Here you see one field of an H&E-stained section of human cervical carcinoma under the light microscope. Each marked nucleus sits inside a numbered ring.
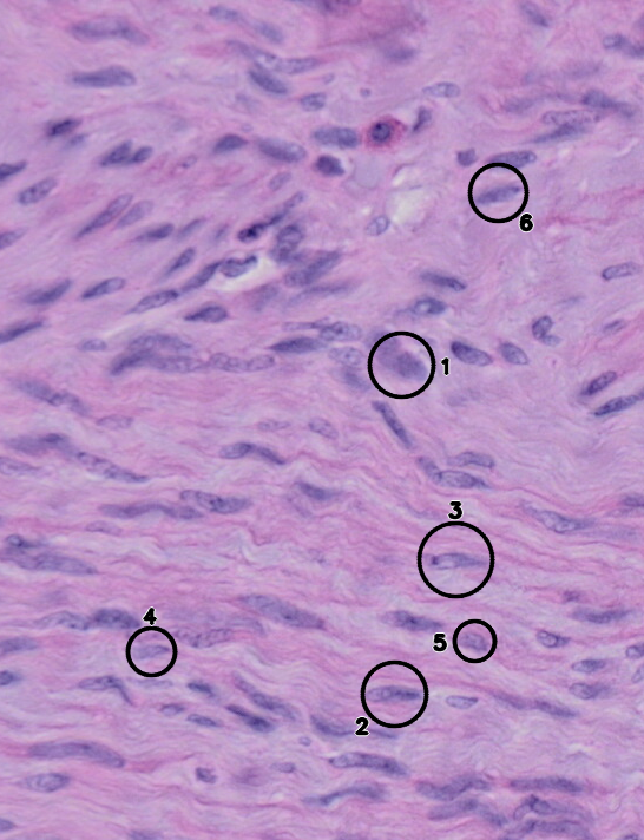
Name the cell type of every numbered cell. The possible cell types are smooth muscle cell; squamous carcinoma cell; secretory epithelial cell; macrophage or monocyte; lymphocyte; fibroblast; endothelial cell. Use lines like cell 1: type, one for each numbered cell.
cell 1: fibroblast
cell 2: smooth muscle cell
cell 3: smooth muscle cell
cell 4: smooth muscle cell
cell 5: smooth muscle cell
cell 6: fibroblast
